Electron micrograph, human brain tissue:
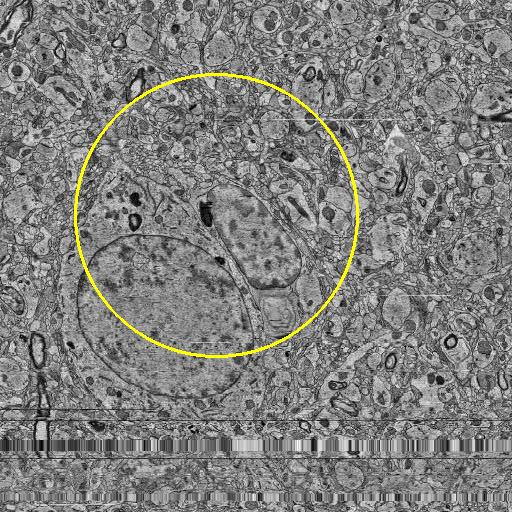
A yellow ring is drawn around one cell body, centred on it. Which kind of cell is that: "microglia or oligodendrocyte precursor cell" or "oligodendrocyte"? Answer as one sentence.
It is a microglial cell or oligodendrocyte precursor cell at the centre of the ring.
